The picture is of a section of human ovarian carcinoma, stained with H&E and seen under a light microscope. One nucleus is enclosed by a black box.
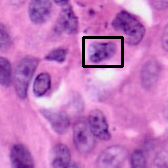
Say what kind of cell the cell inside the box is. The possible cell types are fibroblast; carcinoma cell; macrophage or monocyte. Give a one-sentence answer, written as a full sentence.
By cell type, the cell inside the box is a macrophage or monocyte.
